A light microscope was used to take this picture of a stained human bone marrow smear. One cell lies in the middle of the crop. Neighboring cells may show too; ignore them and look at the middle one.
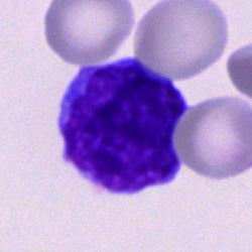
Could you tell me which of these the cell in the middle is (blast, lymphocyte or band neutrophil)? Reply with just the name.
blast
